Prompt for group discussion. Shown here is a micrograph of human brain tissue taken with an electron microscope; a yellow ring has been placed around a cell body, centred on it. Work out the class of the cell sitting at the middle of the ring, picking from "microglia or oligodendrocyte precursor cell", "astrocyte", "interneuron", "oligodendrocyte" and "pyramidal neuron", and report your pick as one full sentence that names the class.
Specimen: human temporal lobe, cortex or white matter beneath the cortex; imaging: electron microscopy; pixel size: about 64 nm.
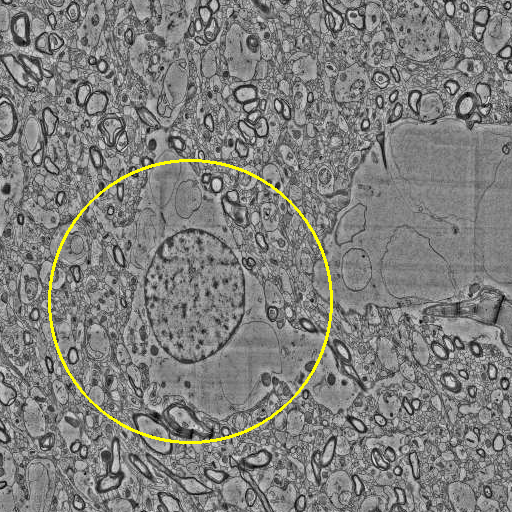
The cell sitting at the middle of the yellow ring is an astrocyte.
